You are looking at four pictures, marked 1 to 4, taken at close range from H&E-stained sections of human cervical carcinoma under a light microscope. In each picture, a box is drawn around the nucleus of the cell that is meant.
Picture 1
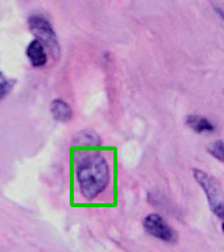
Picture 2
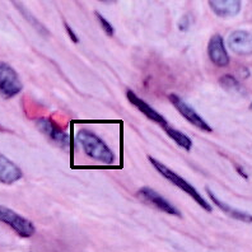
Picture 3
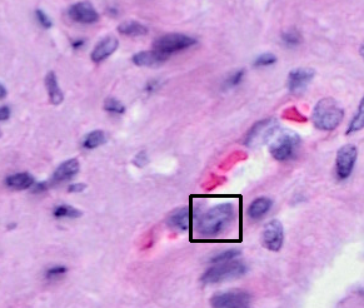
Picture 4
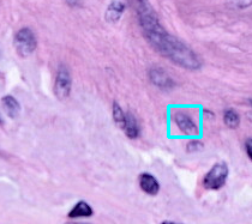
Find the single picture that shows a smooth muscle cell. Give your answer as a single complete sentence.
The cell in picture 4 is the smooth muscle cell.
